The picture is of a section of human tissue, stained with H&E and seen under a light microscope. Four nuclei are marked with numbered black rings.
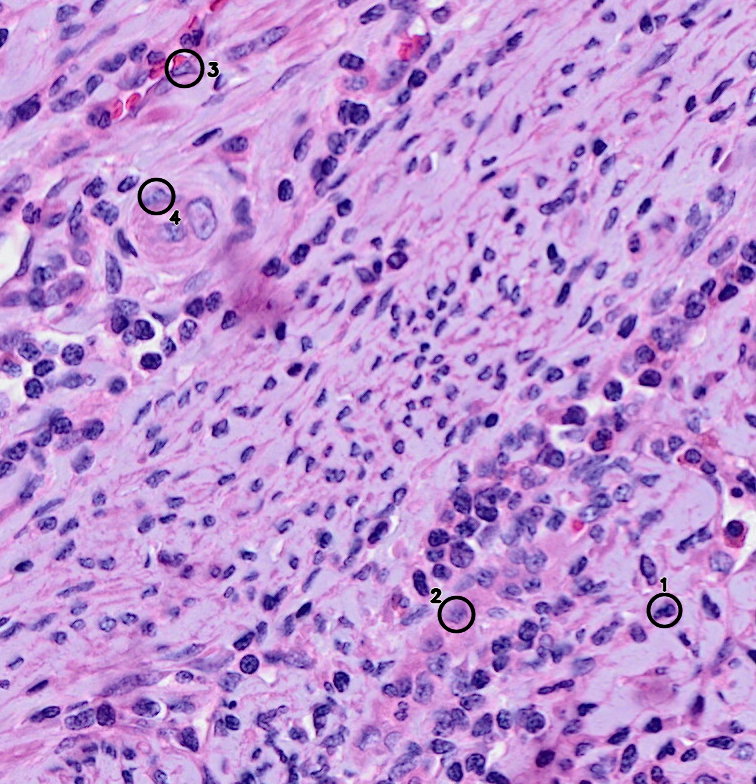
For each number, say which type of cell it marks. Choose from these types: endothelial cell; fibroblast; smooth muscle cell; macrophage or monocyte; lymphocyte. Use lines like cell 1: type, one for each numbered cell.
cell 1: lymphocyte
cell 2: endothelial cell
cell 3: endothelial cell
cell 4: smooth muscle cell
